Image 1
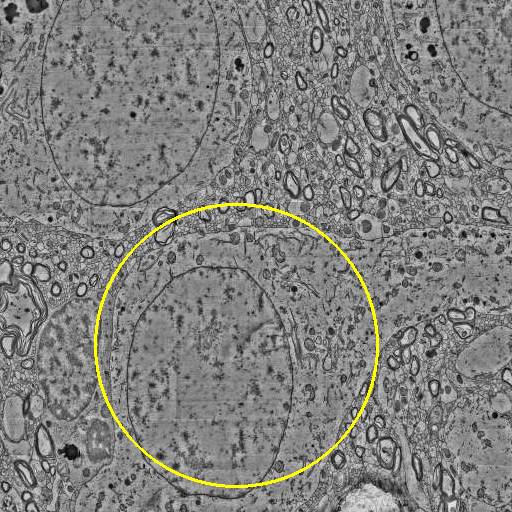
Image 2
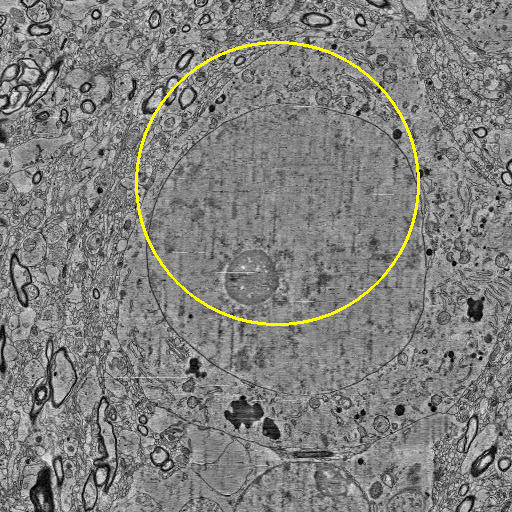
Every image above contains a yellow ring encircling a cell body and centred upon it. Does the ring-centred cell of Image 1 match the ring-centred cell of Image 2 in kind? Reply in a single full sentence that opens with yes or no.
Yes, the cell at the ring's centre in Image 1 is the same kind as that in Image 2.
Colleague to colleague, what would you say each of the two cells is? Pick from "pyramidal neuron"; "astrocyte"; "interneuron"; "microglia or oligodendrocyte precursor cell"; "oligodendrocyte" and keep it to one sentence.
Each of the two pictures has a pyramidal neuron at the ring centre.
